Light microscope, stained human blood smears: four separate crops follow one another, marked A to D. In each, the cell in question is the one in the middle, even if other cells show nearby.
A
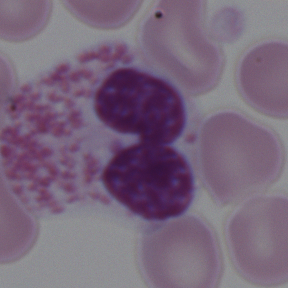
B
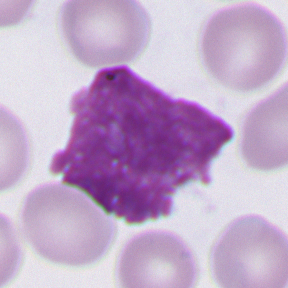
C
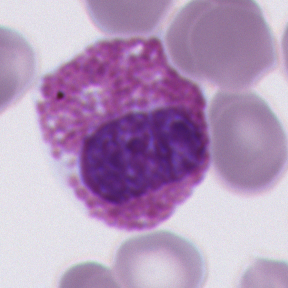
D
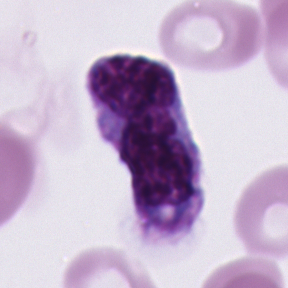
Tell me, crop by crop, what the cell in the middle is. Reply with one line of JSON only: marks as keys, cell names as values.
{"A": "eosinophil", "B": "smudge cell", "C": "eosinophil", "D": "monocyte"}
